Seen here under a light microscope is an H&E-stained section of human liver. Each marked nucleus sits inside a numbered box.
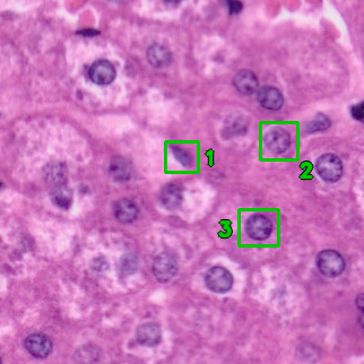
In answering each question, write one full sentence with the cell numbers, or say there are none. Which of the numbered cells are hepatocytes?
The cells assigned the numbers 2 and 3 are hepatocytes.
